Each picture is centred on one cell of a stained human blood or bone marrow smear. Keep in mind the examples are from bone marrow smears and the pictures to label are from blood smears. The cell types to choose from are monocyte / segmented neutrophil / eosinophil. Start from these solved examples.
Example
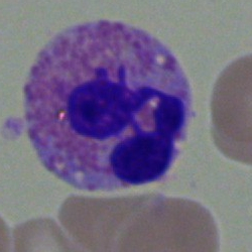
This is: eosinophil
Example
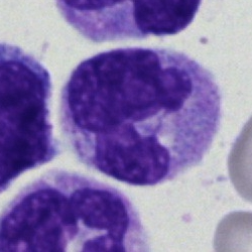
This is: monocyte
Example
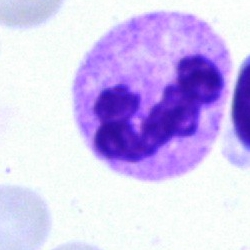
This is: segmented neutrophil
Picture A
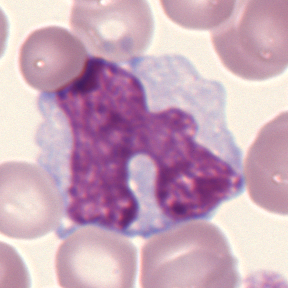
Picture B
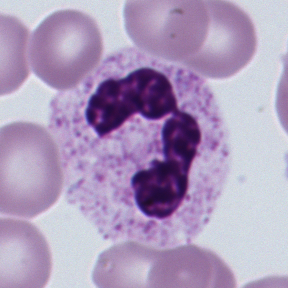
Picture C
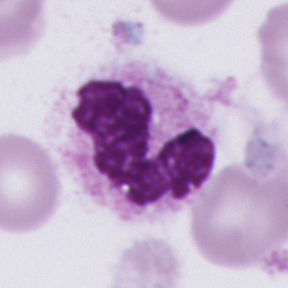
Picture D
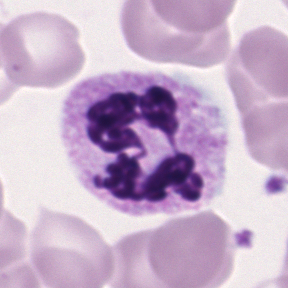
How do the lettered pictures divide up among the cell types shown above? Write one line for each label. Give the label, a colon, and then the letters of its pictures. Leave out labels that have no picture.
monocyte: A
segmented neutrophil: B, C, D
